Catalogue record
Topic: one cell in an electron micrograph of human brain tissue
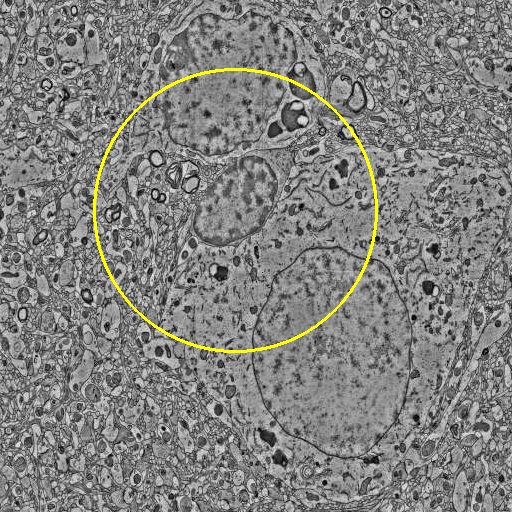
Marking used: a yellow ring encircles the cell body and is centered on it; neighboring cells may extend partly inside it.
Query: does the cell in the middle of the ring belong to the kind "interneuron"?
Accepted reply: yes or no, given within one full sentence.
No, the cell centered in the ring in the picture is of another kind.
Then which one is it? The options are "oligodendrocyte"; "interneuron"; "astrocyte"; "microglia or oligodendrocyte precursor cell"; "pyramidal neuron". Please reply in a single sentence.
The correct answer is that the cell is an oligodendrocyte.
